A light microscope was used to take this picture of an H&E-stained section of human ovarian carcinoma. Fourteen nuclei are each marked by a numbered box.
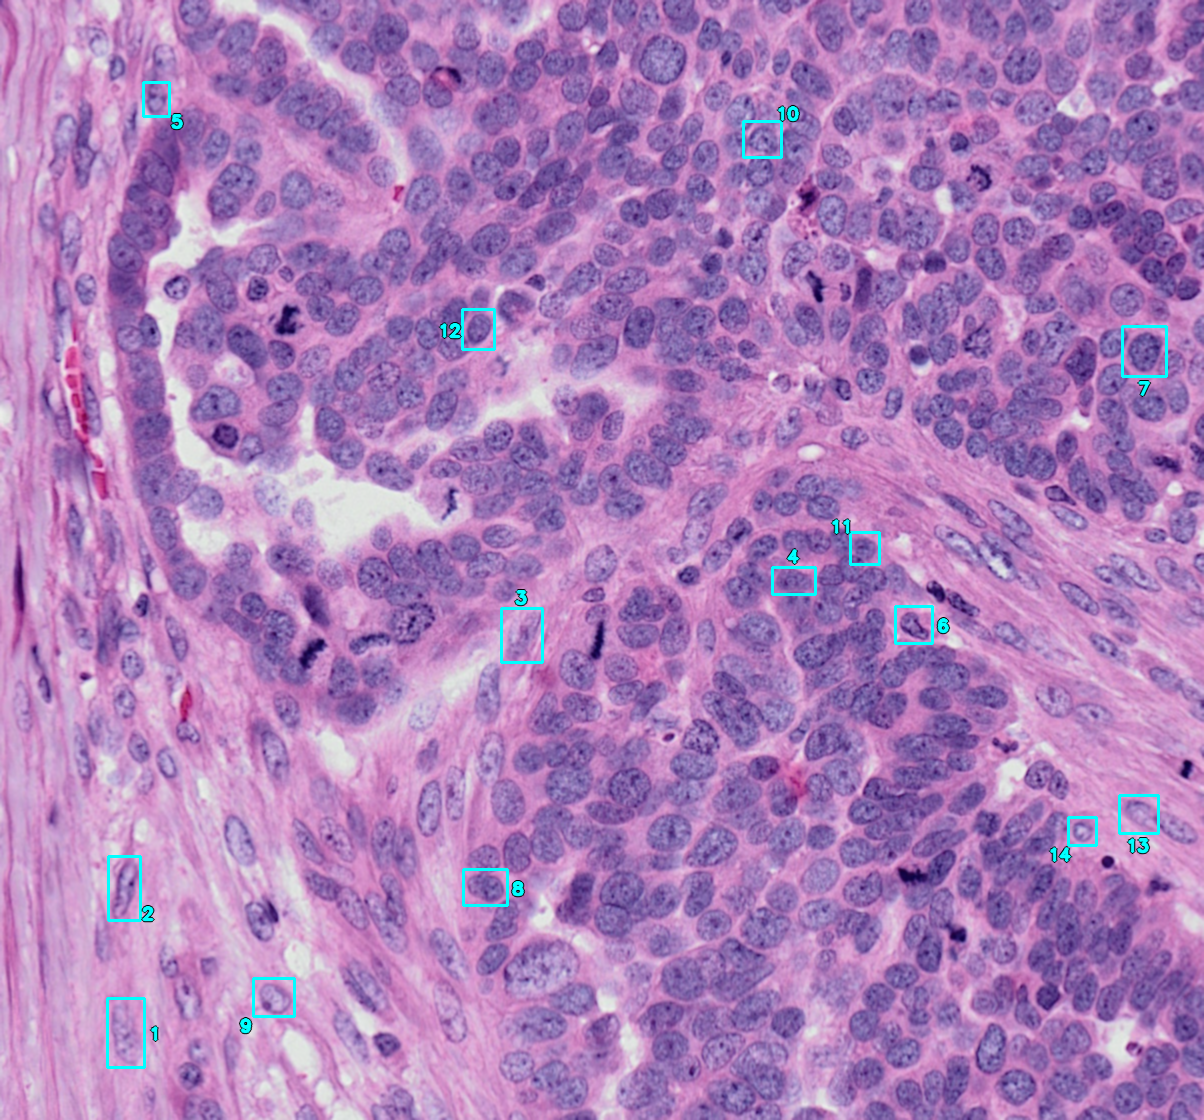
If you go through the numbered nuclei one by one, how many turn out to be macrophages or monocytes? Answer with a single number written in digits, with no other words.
1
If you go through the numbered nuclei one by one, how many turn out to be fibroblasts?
7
